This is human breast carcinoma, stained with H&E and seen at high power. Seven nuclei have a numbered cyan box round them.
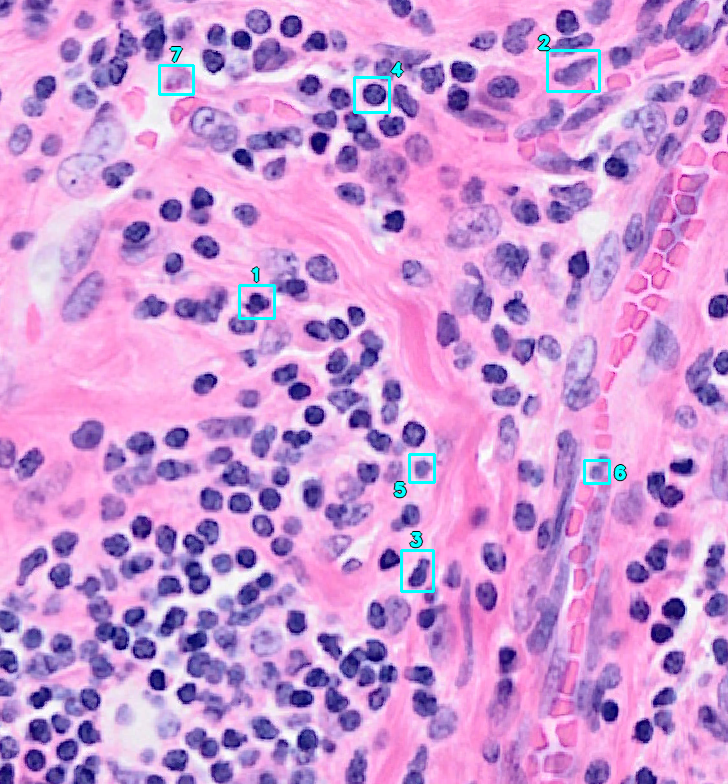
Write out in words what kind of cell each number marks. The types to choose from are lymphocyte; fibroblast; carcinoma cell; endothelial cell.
Cells 1, 3, 4 and 5 are lymphocytes. Cells 2, 6 and 7 are endothelial cells.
